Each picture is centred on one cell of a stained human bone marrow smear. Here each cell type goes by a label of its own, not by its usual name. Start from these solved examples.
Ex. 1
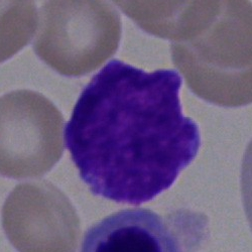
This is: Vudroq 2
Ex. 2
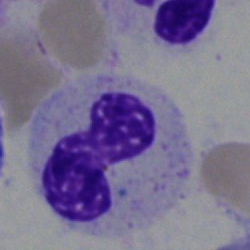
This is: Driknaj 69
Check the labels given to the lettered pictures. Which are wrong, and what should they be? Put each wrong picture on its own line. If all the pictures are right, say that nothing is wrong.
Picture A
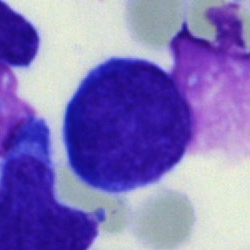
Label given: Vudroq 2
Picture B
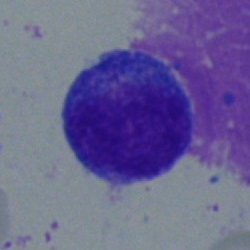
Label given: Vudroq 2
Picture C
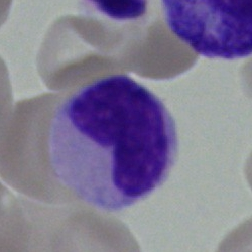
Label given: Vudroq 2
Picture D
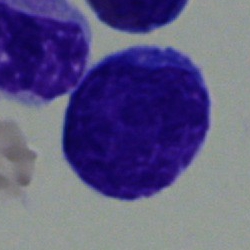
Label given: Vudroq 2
C: not Vudroq 2 but Driknaj 69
